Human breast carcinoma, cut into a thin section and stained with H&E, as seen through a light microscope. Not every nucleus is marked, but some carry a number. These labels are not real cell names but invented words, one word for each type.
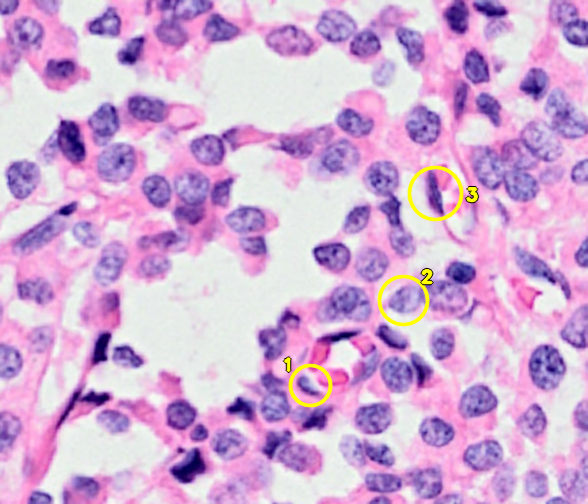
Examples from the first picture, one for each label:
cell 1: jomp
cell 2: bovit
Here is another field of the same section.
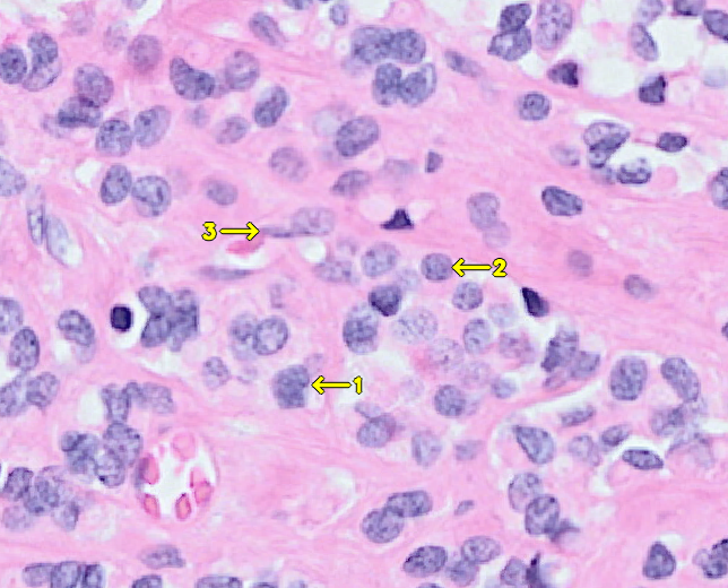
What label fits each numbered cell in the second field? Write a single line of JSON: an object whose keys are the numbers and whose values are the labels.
{"1": "bovit", "2": "bovit", "3": "jomp"}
